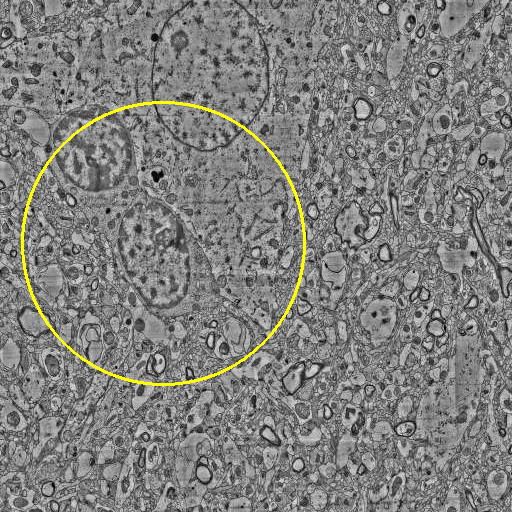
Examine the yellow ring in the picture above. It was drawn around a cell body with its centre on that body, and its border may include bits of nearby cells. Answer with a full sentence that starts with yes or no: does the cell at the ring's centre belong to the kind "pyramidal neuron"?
No, the cell at the heart of the ring shown in the image is a different kind of cell.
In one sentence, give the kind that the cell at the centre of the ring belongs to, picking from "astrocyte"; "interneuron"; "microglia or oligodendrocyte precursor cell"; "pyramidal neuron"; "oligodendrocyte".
So the cell at the centre is an oligodendrocyte.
